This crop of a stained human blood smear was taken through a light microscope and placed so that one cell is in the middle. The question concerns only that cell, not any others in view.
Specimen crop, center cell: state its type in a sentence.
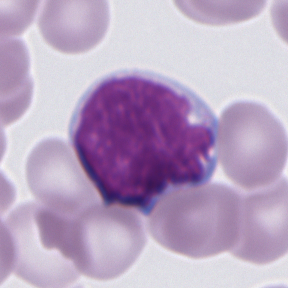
The centrally positioned cell in the crop represents a large granular lymphocyte.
